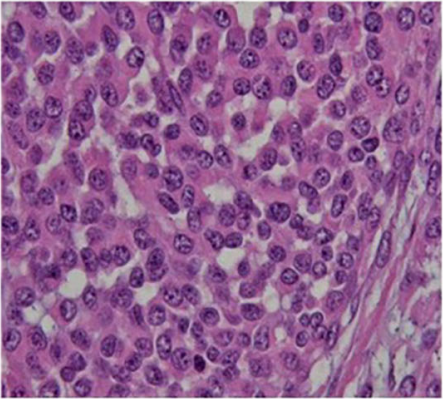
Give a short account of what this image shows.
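At high power the neoplastic cells show abundant pink cytoplasm and round to oval vesicular nuclei, many with a distinct nucleolus, lying loosely packed with small clear spaces between them. No pigment is seen in any cell, and a strip of pink fibrous stroma runs along the right edge.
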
